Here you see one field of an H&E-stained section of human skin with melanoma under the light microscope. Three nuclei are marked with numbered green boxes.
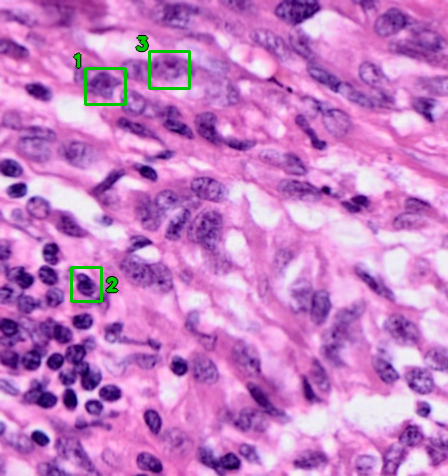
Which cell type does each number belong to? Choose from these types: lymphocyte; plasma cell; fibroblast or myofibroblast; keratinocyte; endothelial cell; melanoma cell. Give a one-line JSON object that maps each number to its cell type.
{"1": "melanoma cell", "2": "lymphocyte", "3": "melanoma cell"}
